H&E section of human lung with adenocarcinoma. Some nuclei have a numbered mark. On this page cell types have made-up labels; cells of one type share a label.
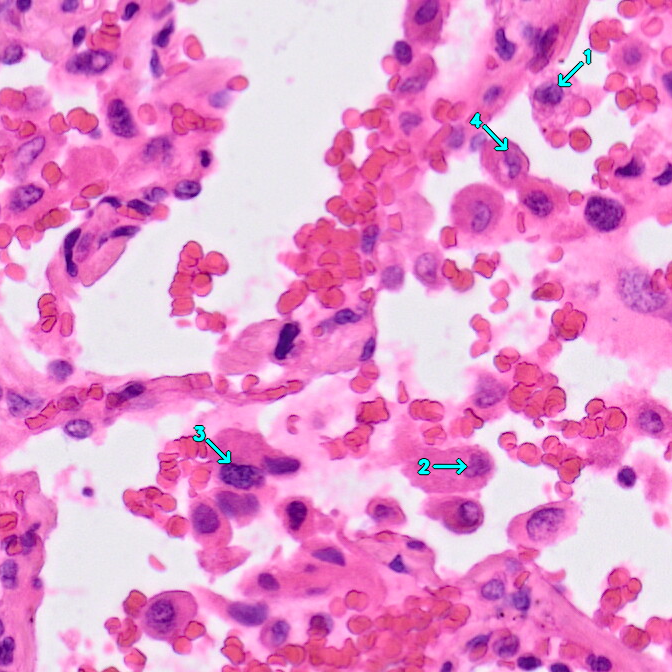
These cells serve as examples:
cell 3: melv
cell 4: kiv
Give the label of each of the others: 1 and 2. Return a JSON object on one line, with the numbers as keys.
{"1": "kiv", "2": "kiv"}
